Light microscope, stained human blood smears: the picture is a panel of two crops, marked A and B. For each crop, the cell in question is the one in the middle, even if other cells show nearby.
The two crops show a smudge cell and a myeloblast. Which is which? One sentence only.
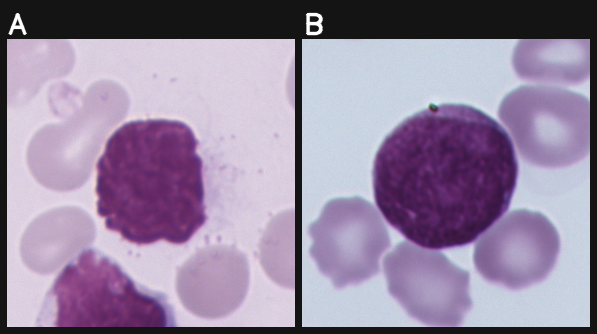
Respectively, crops A and B show a smudge cell and a myeloblast.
